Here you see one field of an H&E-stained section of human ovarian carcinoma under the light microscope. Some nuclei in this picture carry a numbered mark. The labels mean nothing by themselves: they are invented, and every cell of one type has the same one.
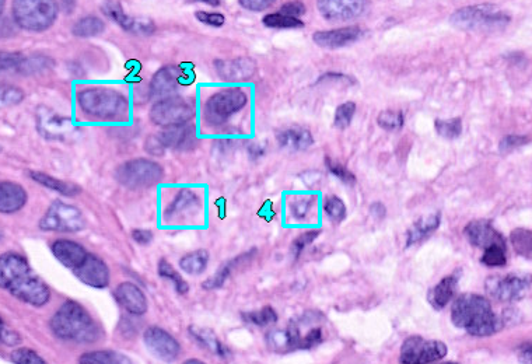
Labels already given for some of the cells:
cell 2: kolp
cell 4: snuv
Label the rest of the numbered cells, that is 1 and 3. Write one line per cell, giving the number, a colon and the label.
1: snuv
3: kolp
